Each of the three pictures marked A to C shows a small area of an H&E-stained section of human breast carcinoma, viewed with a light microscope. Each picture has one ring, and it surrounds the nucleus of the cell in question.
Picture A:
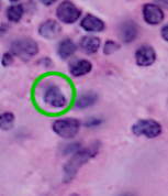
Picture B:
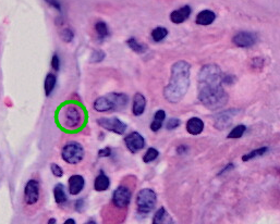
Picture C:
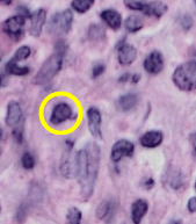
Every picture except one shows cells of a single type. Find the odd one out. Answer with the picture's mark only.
B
